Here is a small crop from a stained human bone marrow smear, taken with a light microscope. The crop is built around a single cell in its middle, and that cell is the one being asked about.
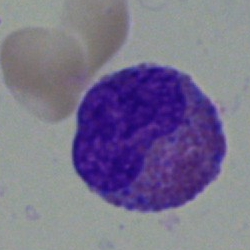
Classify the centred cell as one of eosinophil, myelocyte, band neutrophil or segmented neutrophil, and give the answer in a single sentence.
This crop's central cell is an eosinophil.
